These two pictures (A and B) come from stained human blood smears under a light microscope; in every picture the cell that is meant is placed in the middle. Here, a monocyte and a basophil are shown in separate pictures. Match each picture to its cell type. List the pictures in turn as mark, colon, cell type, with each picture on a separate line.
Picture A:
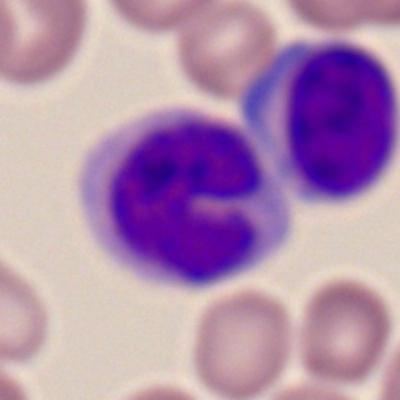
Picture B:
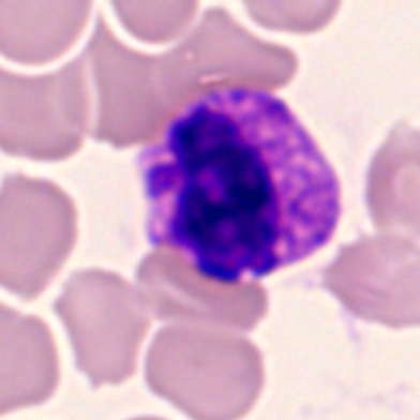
A: monocyte
B: basophil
